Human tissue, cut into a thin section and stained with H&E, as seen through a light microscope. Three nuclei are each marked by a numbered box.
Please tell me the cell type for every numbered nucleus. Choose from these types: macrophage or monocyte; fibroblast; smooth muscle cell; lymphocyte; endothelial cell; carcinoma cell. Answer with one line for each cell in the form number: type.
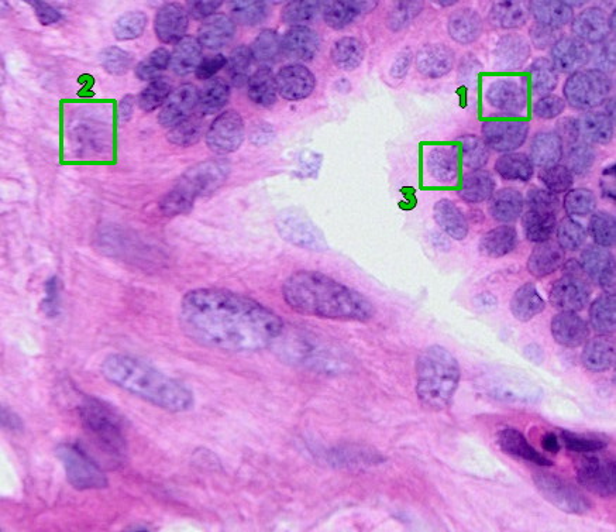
1: carcinoma cell
2: fibroblast
3: carcinoma cell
